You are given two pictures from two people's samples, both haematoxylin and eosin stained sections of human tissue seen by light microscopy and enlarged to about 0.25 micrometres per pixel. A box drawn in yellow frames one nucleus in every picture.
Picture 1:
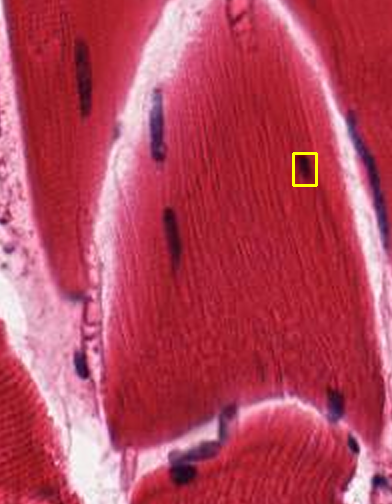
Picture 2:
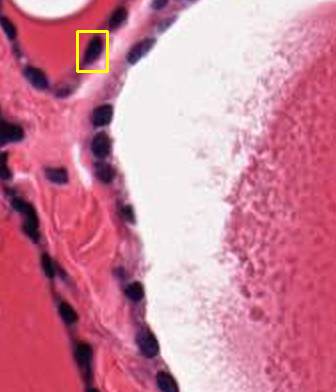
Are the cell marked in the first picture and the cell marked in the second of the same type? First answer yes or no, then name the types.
No, the first is a skeletal muscle fibre and the second a thyroid follicular cell.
